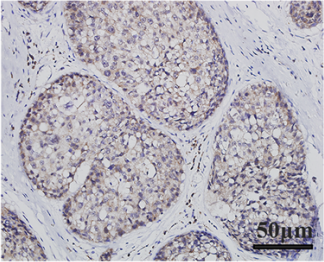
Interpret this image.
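Several large, rounded nests of tumour cells are seen. Within each nest the epithelial cells are closely packed. Their round to oval nuclei are somewhat enlarged. The cytoplasm has a faint light-brown tint, and here and there small clear spaces lie among the cells. The edges of the nests are smooth. A rim of cells lines each nest against the stroma, and no cells break out of it. Between the nests, thin spindle-shaped stromal cells with dark, elongated nuclei lie in loose fibrous tissue.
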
